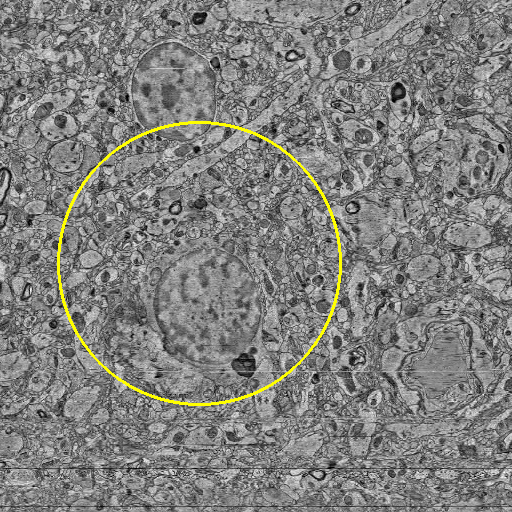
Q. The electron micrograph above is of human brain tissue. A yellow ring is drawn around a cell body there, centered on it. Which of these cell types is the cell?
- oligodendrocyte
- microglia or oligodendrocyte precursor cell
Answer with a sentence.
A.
The cell under the ring's center is an oligodendrocyte.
